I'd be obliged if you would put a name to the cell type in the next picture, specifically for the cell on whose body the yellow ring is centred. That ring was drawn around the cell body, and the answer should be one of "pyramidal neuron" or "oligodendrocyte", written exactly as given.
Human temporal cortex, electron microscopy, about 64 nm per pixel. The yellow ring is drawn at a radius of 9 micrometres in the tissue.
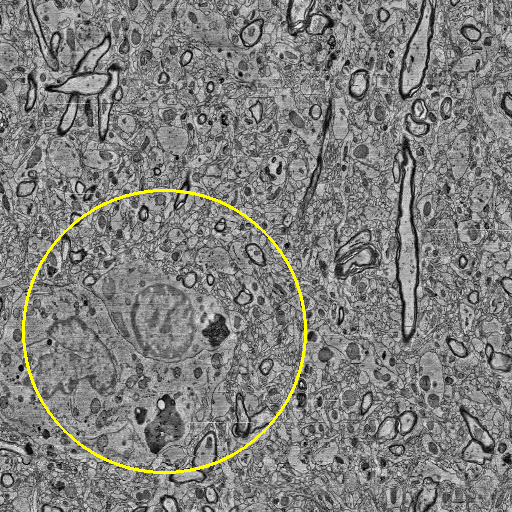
oligodendrocyte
